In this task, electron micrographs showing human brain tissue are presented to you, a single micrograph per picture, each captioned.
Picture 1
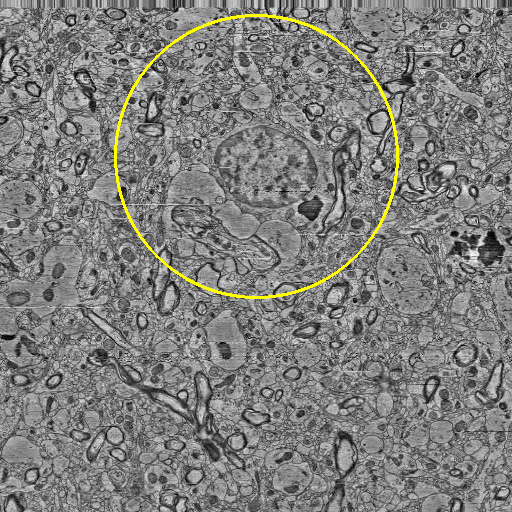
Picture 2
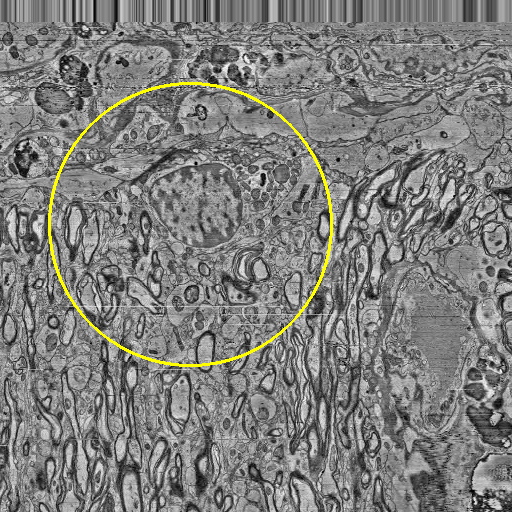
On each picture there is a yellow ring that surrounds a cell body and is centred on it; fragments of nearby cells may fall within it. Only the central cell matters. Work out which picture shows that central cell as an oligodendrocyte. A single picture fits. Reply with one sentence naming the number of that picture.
Of all the pictures, number 1 has the right cell in the centre of its ring.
